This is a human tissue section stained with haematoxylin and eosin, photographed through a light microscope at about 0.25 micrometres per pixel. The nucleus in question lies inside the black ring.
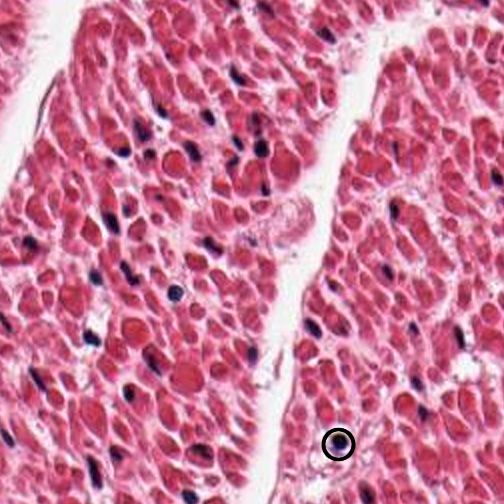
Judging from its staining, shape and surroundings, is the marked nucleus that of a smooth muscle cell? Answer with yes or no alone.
no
